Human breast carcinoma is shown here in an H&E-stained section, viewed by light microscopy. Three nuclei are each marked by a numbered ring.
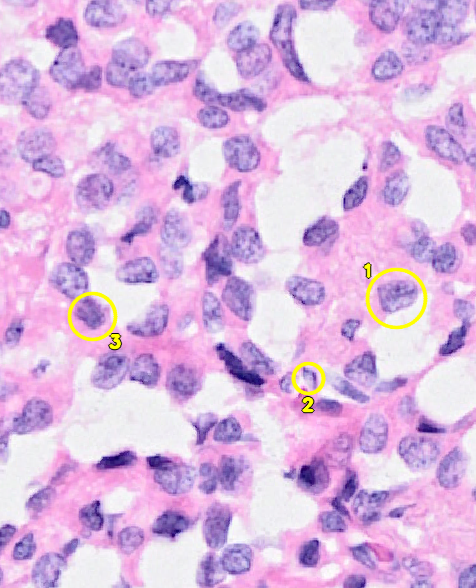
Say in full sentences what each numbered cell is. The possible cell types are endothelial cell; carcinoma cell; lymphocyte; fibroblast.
Cell 1 is a carcinoma cell, cell 2 is an endothelial cell and cell 3 is a carcinoma cell.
